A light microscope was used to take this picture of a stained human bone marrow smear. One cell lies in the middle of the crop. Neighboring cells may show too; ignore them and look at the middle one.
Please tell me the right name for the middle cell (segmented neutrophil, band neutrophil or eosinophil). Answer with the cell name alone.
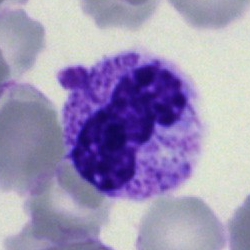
segmented neutrophil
